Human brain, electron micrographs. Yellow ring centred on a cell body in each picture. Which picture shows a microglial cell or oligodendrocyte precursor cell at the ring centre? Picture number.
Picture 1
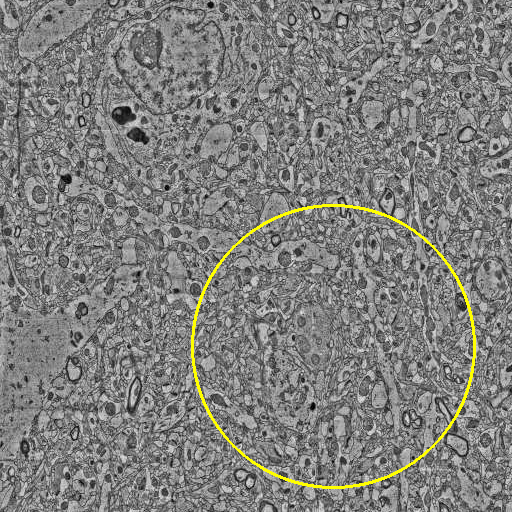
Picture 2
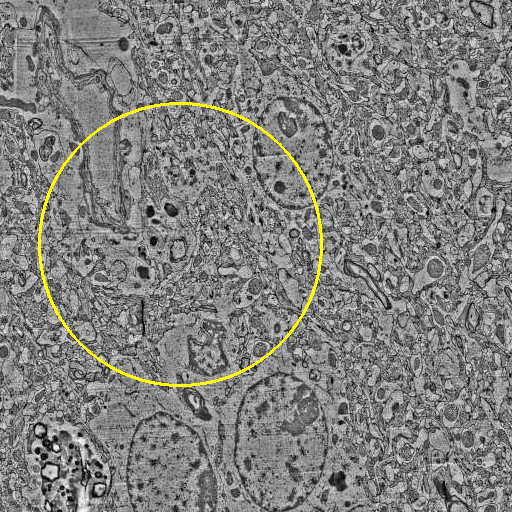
2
